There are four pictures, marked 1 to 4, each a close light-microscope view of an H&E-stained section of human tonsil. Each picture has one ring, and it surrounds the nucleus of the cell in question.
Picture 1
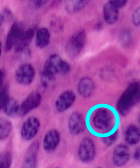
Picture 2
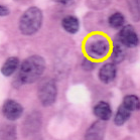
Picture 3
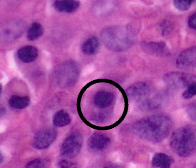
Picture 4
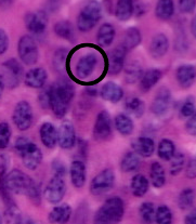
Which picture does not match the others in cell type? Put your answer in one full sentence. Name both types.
The different one is picture 3; it shows a squamous epithelial cell, whereas all the others show plasma cells.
